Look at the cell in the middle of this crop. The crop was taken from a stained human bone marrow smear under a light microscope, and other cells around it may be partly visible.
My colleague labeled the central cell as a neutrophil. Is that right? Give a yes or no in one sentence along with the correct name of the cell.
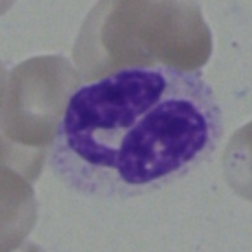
Yes, as regards the cell in the middle, it is a neutrophil.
